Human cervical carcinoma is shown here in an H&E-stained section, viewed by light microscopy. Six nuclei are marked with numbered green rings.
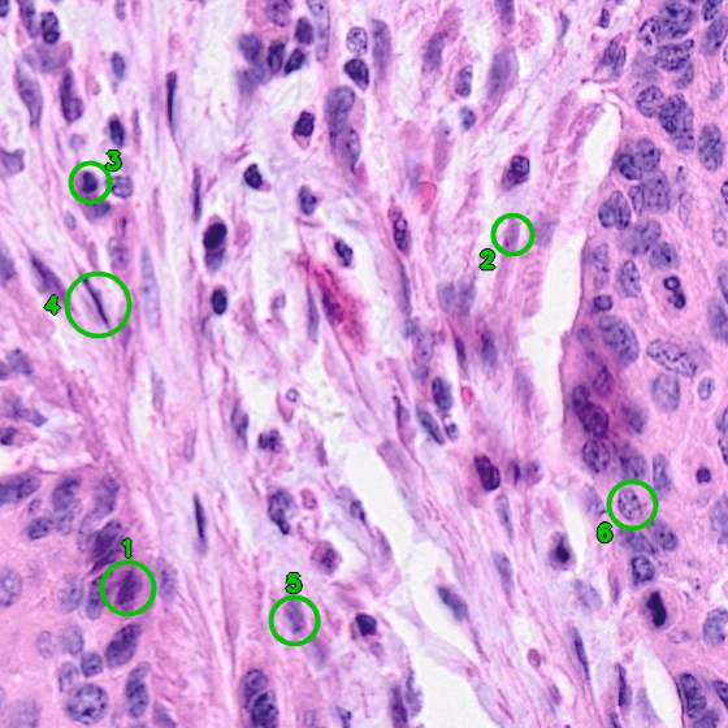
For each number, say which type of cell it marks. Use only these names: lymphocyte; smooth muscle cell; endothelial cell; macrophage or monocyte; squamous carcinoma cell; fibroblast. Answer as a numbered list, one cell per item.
1. squamous carcinoma cell
2. fibroblast
3. lymphocyte
4. fibroblast
5. fibroblast
6. squamous carcinoma cell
